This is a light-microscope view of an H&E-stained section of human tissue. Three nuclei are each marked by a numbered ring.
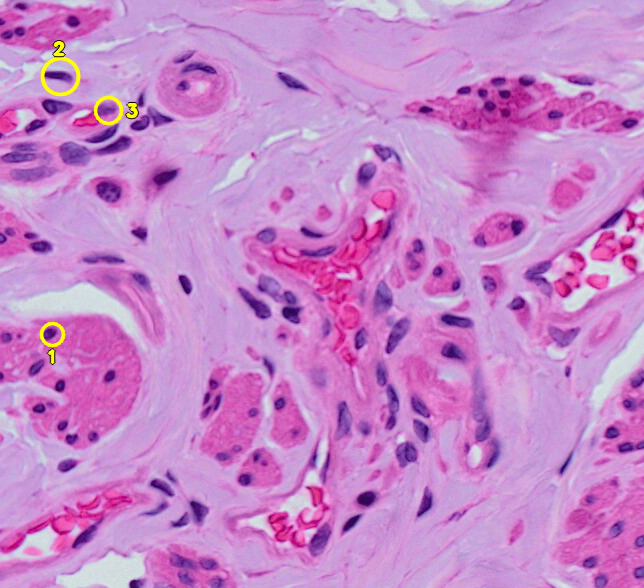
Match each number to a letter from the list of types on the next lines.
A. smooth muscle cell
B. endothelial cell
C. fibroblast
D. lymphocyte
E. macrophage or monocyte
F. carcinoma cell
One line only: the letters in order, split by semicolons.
A; C; B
